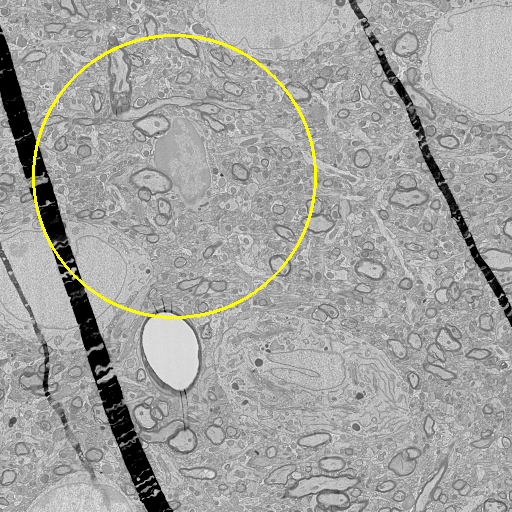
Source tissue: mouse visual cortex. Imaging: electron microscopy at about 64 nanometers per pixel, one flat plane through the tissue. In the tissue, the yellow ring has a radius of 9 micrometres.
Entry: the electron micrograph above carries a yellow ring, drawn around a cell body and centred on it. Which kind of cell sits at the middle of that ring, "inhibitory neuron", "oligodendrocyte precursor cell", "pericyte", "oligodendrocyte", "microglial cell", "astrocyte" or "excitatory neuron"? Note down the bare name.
microglial cell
